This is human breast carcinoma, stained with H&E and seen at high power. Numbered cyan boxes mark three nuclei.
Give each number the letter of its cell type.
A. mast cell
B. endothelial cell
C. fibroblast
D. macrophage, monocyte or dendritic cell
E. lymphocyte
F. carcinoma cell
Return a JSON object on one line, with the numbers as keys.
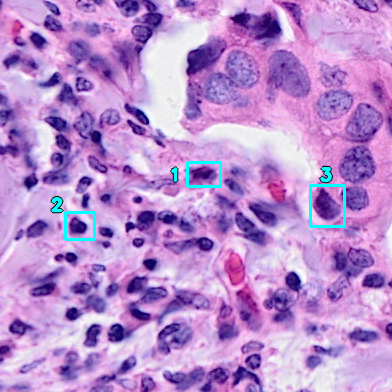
{"1": "D", "2": "E", "3": "F"}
